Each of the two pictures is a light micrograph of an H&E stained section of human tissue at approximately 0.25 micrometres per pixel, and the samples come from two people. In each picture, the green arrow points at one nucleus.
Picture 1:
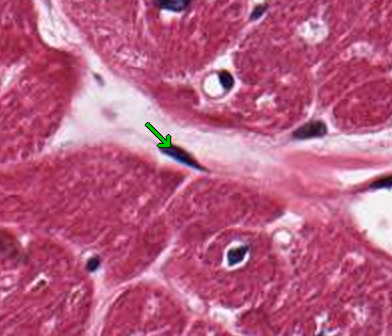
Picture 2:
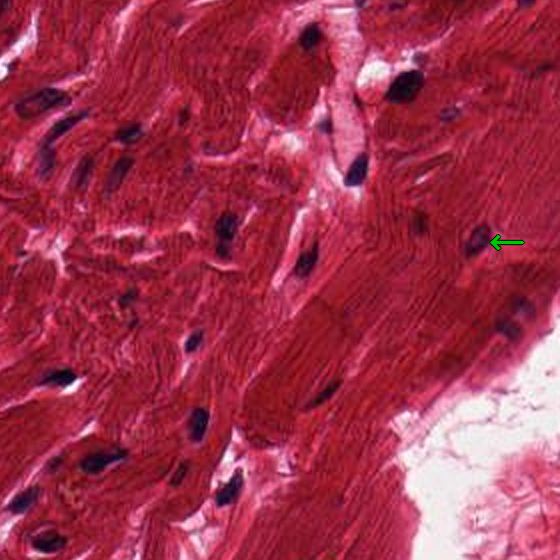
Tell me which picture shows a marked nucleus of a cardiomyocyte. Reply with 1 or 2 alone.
2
